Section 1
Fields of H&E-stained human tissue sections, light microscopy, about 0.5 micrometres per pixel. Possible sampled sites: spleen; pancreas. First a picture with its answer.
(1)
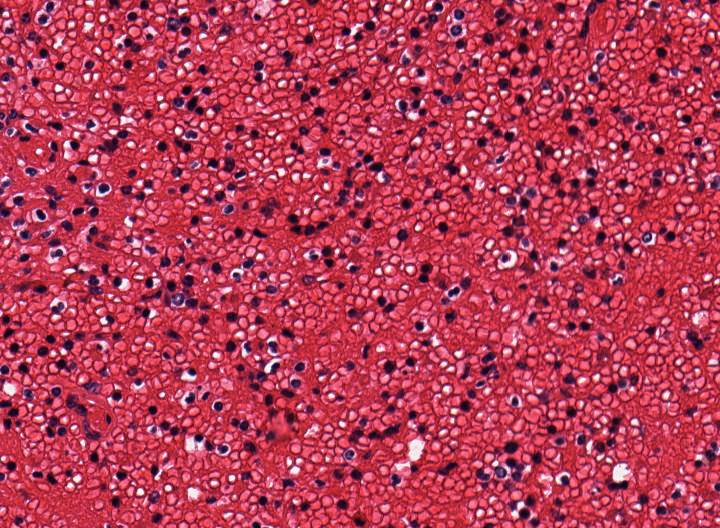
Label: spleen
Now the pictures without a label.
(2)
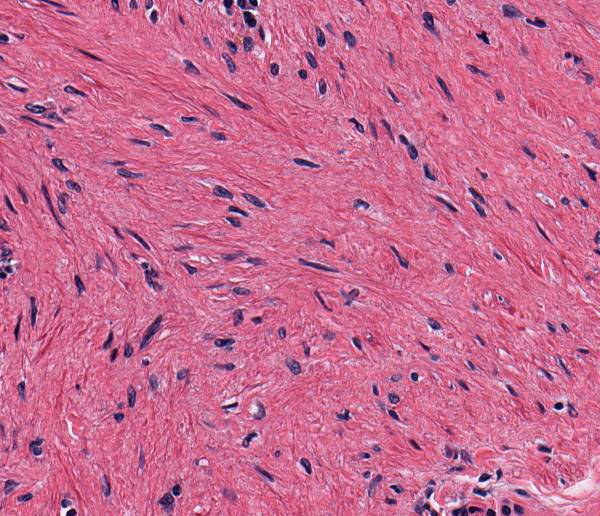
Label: spleen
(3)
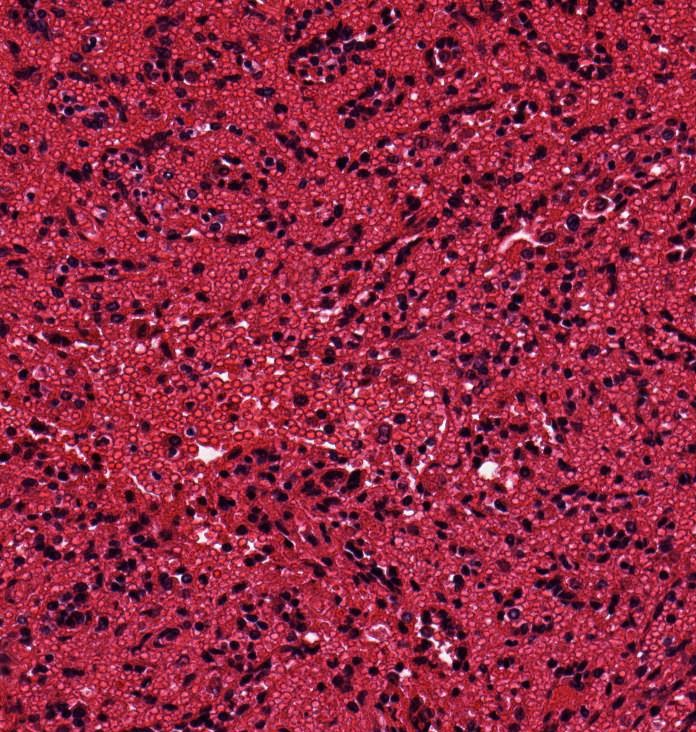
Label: spleen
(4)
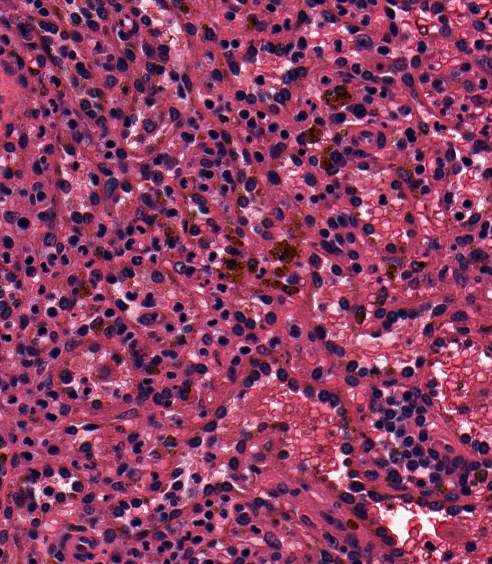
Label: spleen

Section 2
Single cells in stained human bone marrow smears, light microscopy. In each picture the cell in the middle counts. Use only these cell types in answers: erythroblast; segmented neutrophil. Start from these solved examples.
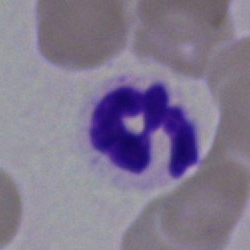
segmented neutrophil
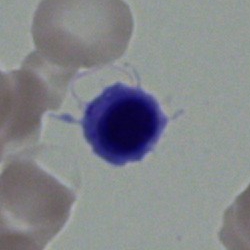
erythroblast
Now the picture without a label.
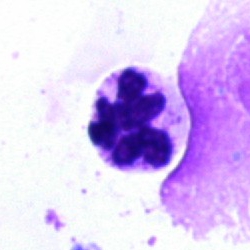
segmented neutrophil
